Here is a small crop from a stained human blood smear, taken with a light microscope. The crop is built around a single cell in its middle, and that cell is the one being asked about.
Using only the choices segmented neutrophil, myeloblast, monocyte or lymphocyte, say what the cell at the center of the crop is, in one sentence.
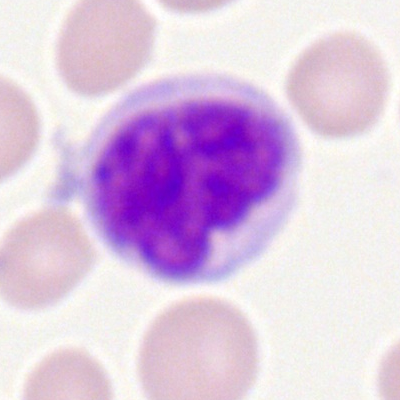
The middle cell in this particular crop is a monocyte.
